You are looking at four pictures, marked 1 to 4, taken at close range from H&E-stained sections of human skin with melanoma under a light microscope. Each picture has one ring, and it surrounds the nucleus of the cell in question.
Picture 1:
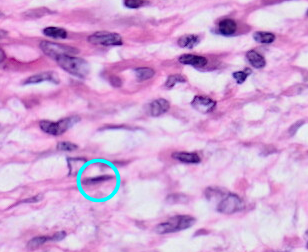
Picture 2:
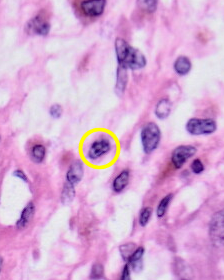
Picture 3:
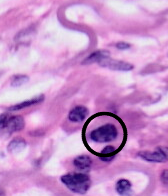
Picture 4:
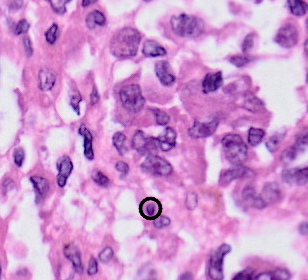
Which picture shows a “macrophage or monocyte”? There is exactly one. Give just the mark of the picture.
4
